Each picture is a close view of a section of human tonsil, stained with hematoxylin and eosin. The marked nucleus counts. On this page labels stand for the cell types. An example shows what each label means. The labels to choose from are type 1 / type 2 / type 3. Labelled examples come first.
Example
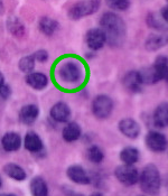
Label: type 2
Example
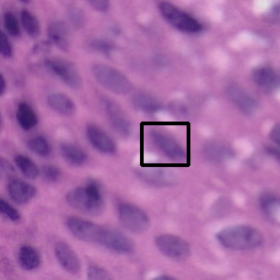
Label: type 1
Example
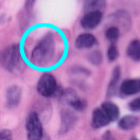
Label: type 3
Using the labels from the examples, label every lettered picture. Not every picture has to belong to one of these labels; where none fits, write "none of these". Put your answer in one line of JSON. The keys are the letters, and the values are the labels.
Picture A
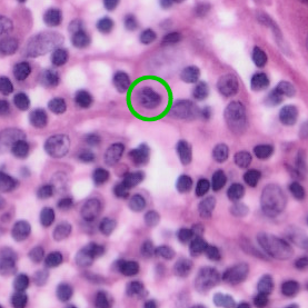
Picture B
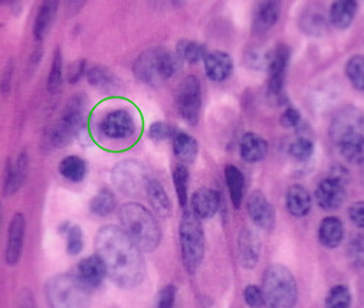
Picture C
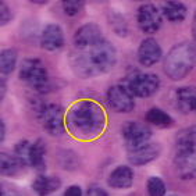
{"A": "type 3", "B": "type 2", "C": "type 2"}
